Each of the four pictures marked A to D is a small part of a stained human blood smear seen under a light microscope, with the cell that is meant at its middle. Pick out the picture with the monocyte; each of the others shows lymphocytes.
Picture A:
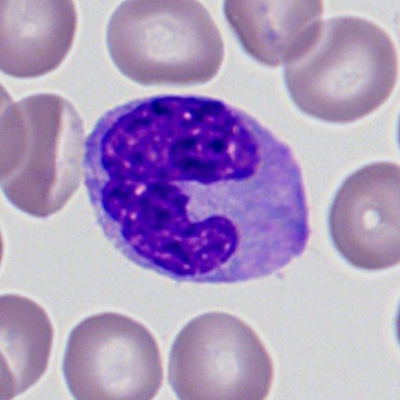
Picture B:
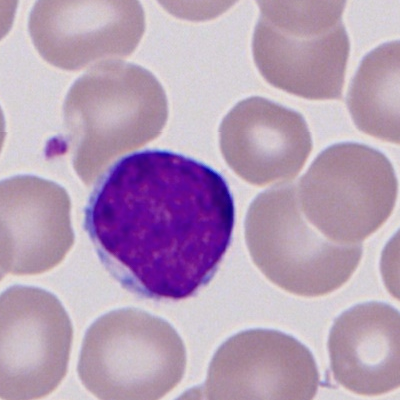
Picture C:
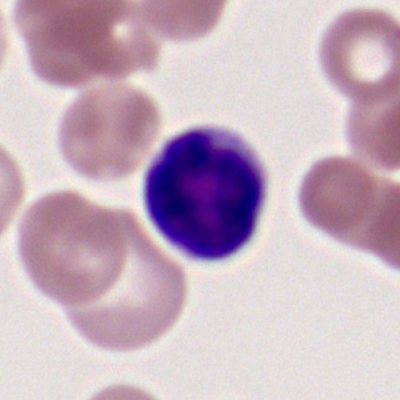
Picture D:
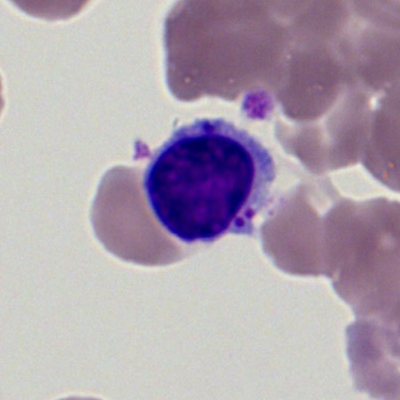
A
